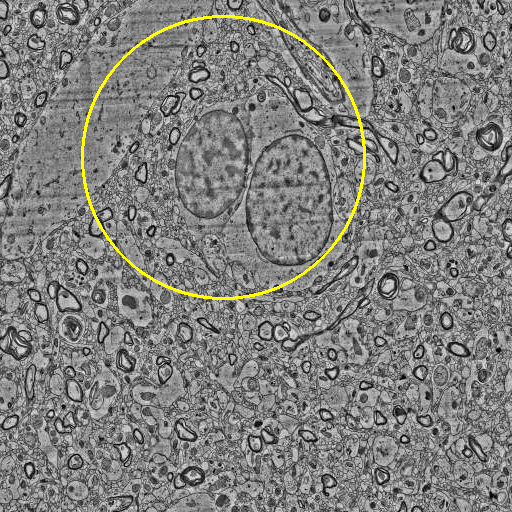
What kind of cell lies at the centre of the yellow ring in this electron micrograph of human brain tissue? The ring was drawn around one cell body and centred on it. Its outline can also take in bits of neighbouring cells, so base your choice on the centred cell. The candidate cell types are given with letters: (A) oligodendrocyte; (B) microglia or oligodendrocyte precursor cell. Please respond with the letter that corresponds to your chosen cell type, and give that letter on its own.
A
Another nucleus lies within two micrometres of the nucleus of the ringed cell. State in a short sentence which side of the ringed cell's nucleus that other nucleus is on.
The other nucleus sits to the right of it.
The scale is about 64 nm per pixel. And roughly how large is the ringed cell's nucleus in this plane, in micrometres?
The nucleus is approximately 7 micrometers long by 5 micrometers wide in this plane.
